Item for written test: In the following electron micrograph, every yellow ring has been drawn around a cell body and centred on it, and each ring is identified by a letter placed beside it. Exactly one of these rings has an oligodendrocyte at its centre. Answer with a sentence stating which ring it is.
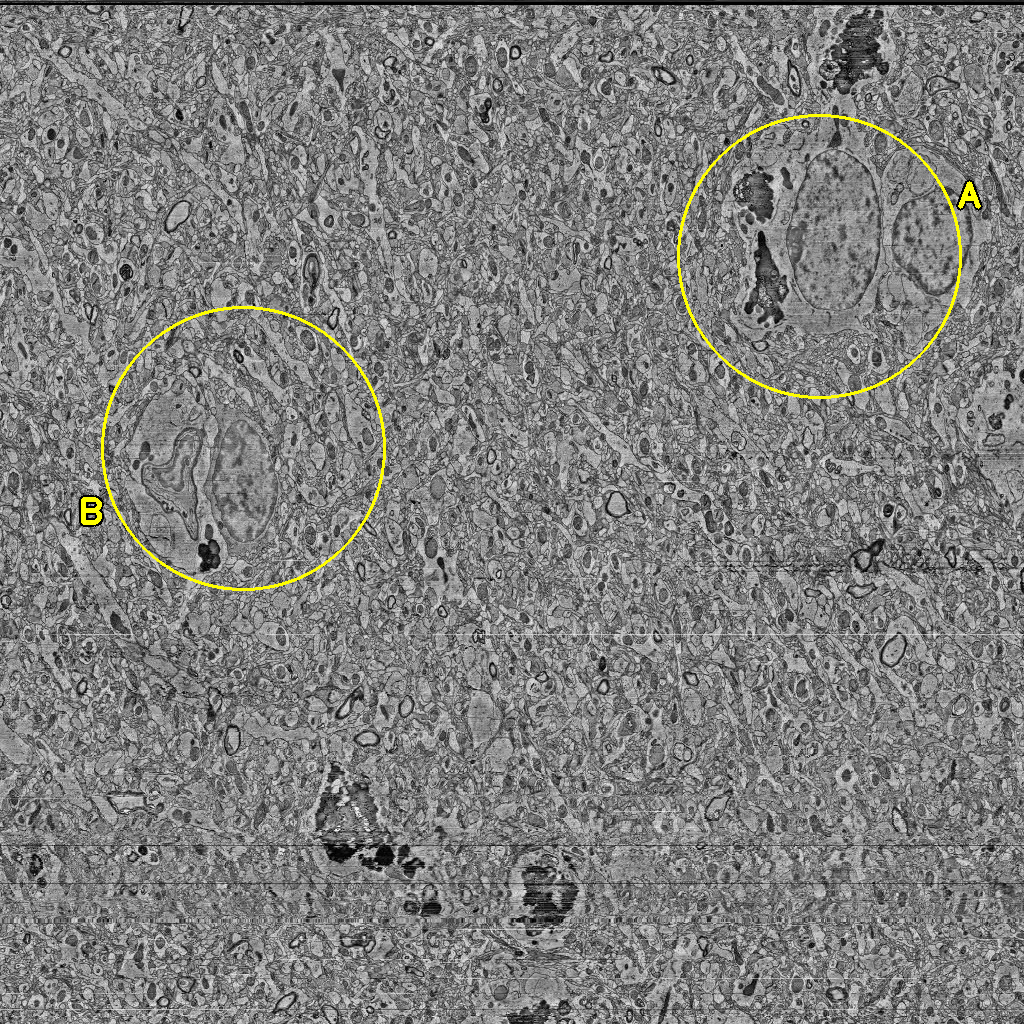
It is ring B.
